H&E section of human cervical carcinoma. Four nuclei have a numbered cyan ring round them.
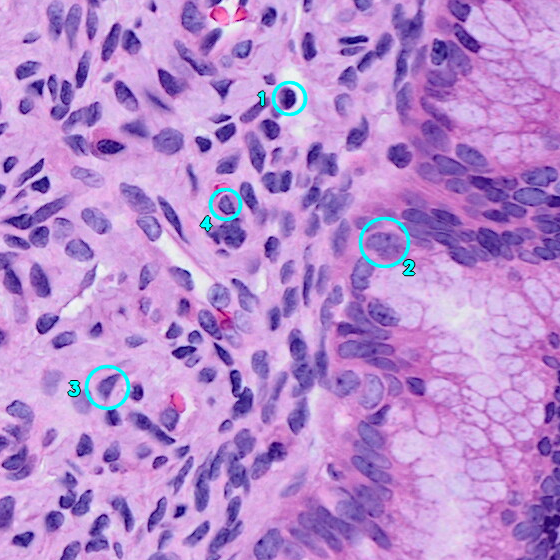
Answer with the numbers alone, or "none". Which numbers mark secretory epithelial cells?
2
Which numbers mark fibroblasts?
3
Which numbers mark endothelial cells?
4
